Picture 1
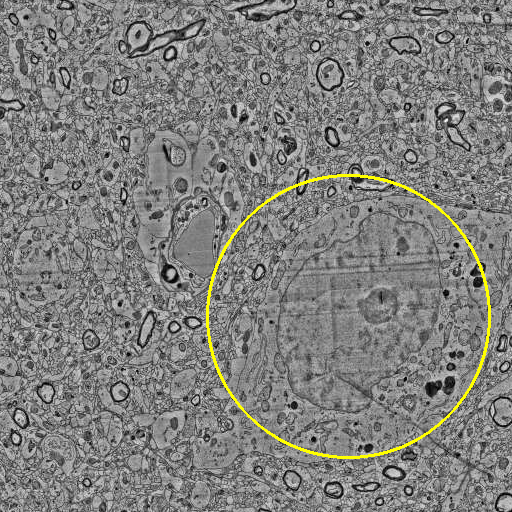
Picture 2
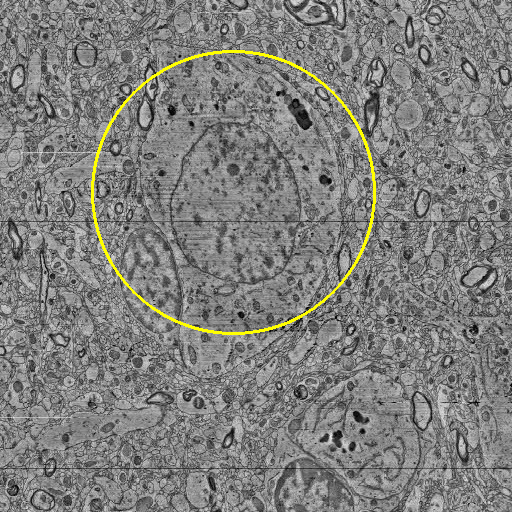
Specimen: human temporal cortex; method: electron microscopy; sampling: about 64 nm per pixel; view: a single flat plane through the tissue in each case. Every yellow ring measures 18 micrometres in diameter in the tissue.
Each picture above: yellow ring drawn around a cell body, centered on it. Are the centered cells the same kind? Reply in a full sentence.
No, the two cells are two kinds of cell.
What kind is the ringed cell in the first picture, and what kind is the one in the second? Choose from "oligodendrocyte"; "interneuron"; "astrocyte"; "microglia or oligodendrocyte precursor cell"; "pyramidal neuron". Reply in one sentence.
The first cell is an interneuron; the second is a pyramidal neuron.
